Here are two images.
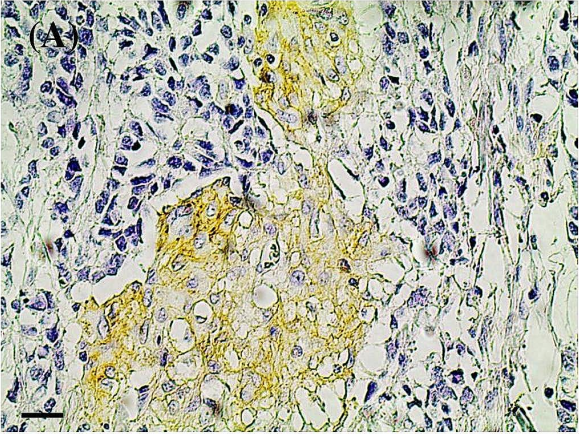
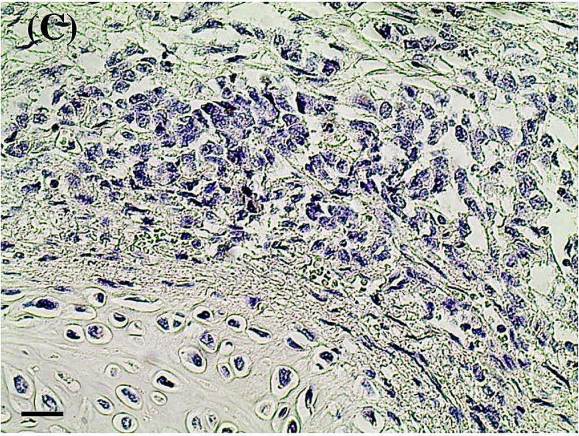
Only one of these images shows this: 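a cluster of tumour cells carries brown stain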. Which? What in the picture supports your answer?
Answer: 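Second image: only blue nuclei and pale cytoplasm, no brown anywhere. First image: a large cluster of cells at lower left and a smaller one at top is outlined in yellow-brown.
The first image.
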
